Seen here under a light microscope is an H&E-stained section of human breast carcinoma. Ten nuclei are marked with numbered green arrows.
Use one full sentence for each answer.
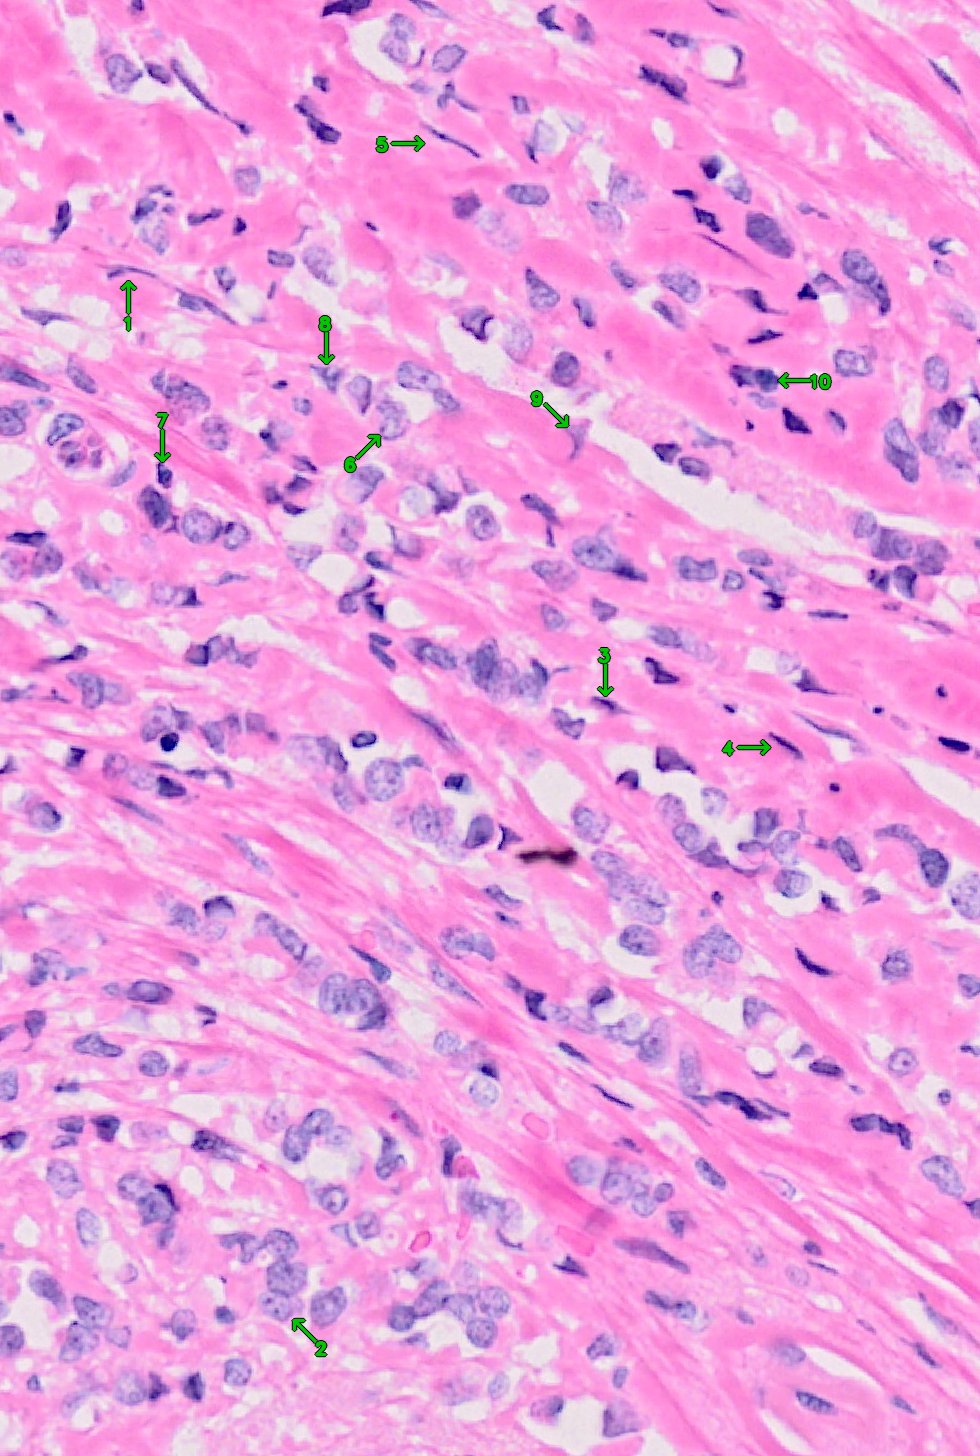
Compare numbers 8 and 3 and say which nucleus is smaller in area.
The smaller nucleus is 3, and 8 covers roughly 1.5 times its area.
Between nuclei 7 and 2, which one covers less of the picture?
It is nucleus 7; nucleus 2 has about 2.5 times its area.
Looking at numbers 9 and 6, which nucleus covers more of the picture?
Number 6 is larger; its area is about 2.5 times that of number 9.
